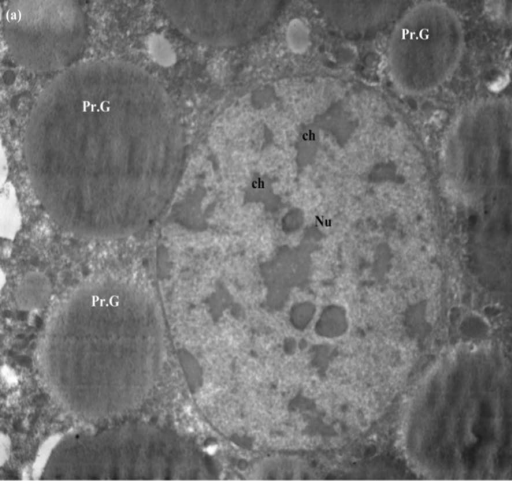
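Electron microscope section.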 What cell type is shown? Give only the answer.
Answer: Fat body cells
